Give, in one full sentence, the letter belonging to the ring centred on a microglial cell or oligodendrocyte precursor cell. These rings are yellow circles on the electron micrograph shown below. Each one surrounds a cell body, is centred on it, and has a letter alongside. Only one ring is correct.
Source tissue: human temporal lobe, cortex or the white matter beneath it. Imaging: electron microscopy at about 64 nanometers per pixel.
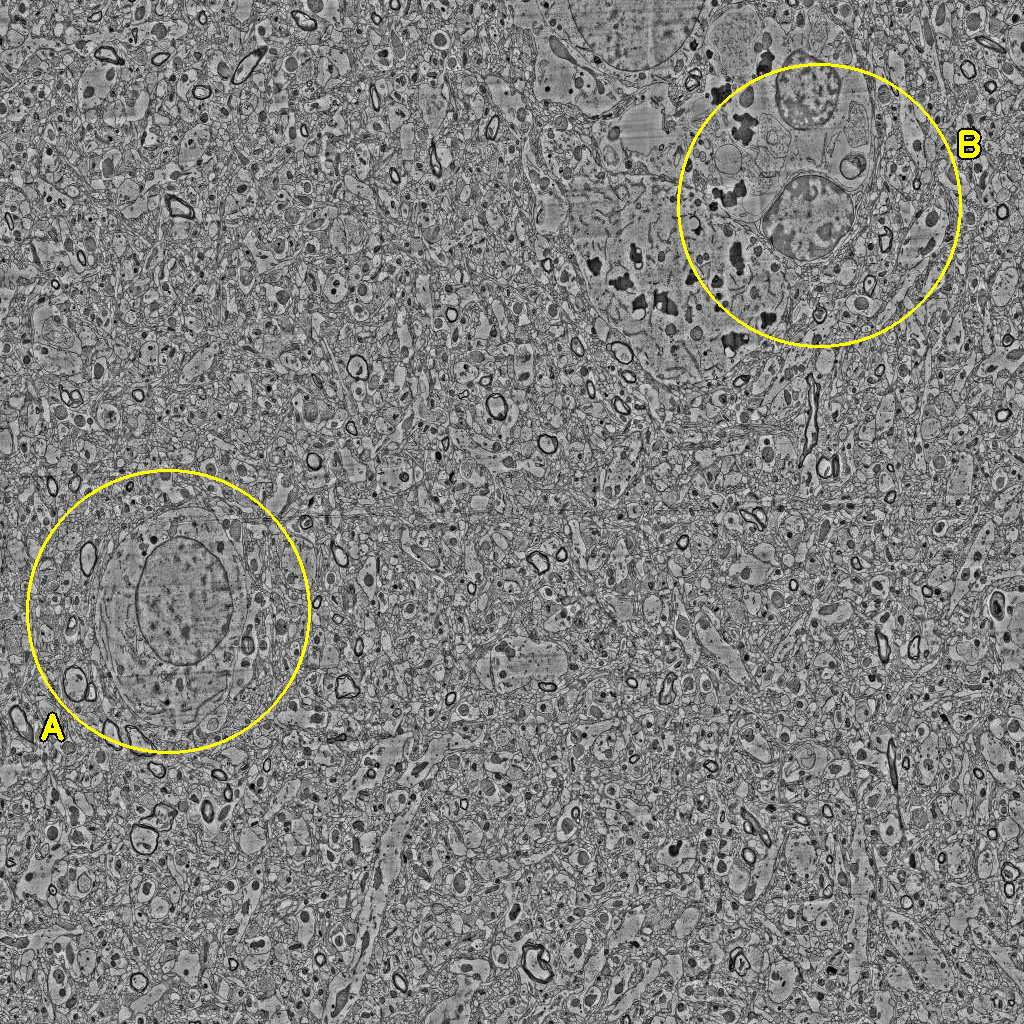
My answer is B, the ring centred on the cell asked for.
